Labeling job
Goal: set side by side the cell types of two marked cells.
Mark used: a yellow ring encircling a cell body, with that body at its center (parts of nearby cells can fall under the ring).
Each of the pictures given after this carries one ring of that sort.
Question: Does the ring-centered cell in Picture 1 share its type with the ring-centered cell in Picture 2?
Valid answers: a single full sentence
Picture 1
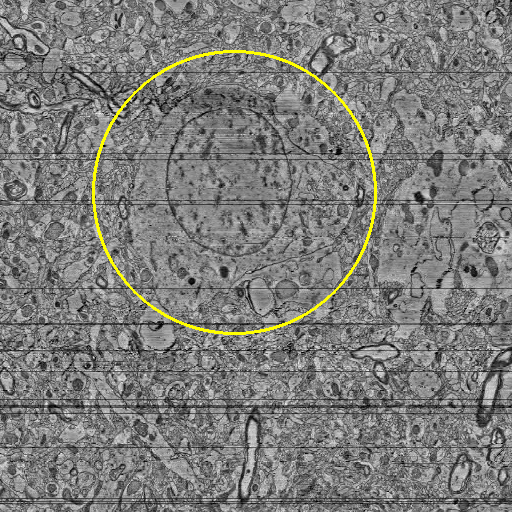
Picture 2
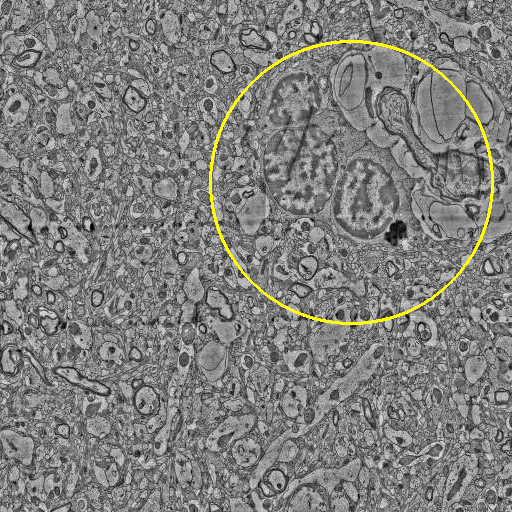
No, in Pictures 1 and 2 the cells at the ring centers have separate types.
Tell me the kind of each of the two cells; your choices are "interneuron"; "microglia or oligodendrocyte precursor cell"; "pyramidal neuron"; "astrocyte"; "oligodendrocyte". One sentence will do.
The ringed cell is a pyramidal neuron in the first picture and an oligodendrocyte in the second picture.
